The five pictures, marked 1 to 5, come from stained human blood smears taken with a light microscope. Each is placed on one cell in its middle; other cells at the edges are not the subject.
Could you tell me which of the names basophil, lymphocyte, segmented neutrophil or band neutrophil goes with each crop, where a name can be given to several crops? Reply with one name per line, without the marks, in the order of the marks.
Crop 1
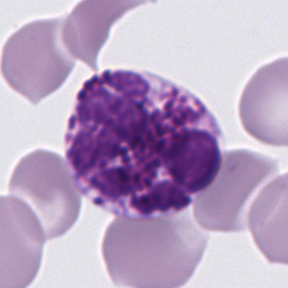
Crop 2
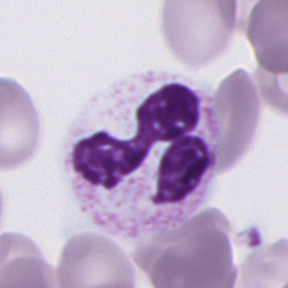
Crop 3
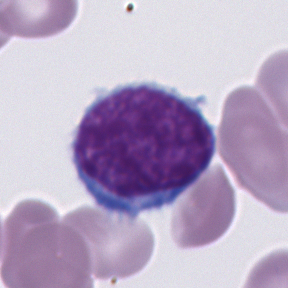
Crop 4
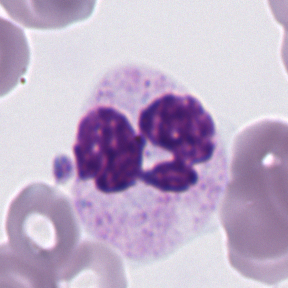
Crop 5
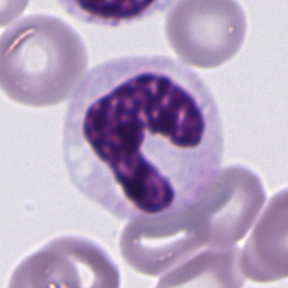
basophil
segmented neutrophil
lymphocyte
segmented neutrophil
band neutrophil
